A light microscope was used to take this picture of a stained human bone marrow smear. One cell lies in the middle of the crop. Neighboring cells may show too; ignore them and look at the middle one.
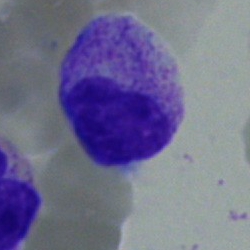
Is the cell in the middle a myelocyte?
yes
